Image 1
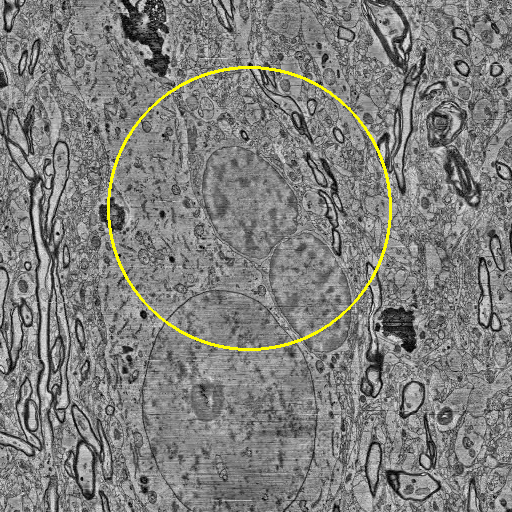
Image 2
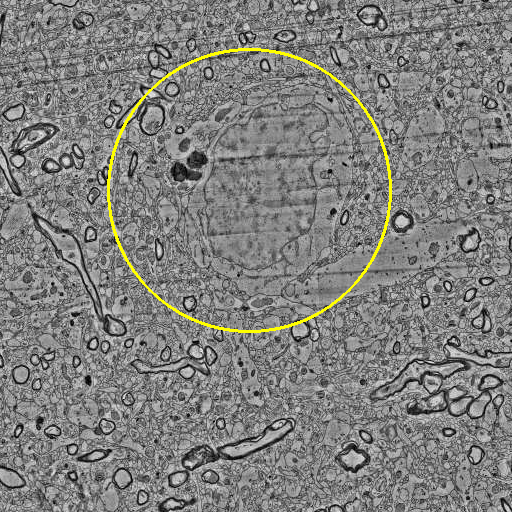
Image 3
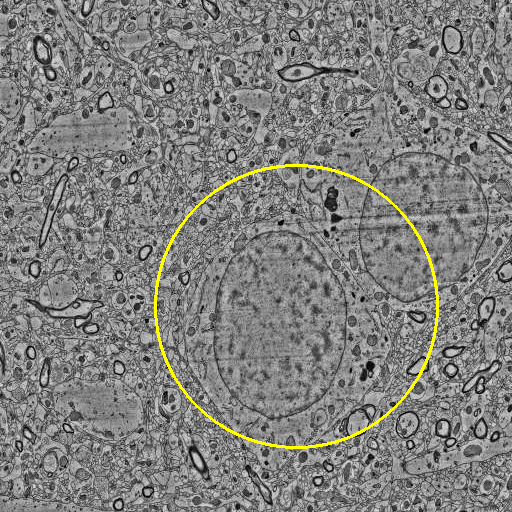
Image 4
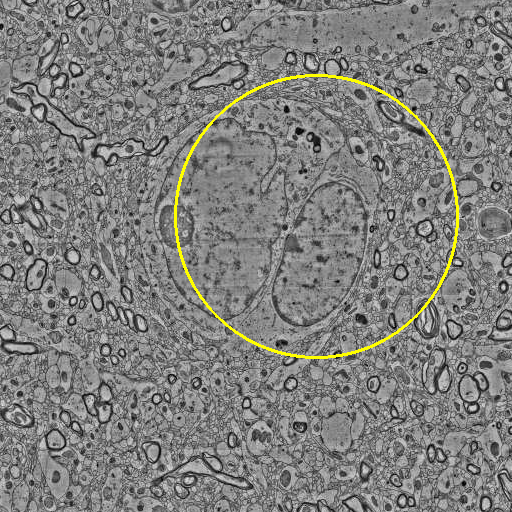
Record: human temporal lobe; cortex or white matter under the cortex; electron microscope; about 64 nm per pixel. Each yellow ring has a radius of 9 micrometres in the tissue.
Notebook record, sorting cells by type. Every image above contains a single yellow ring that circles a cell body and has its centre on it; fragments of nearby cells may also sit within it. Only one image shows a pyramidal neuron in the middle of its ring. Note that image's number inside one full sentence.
For image 3, the cell in the middle of its yellow ring is the match.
